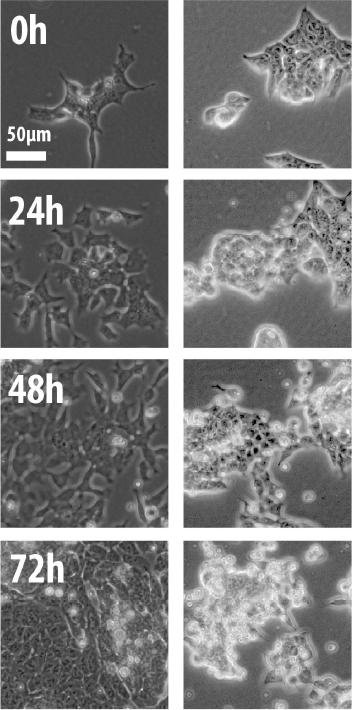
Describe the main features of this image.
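In the left column a small branched cluster of cells breaks up into loosely scattered cells with elongated, irregular processes. Later these cells fill the field as a dense sheet. In the right column the cells stay together as compact, tightly packed clusters with sharp, bright edges, and rounded phase-bright cells sit on and around the clusters at later time points.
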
